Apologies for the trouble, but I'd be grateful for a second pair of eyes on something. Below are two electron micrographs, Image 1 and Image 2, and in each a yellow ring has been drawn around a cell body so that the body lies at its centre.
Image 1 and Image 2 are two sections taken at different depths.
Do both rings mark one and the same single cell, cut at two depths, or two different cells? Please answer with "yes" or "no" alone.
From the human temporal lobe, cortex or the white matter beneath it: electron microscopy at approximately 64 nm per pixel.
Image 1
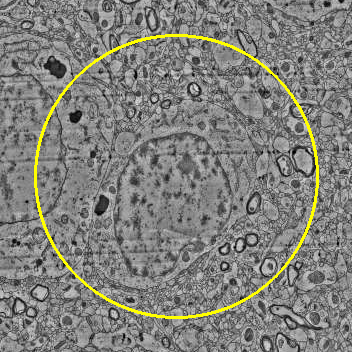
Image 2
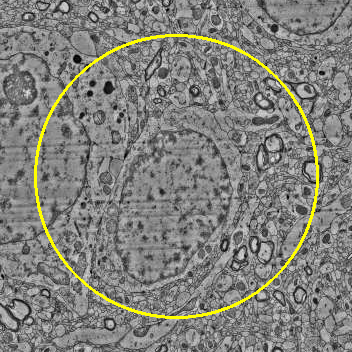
yes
